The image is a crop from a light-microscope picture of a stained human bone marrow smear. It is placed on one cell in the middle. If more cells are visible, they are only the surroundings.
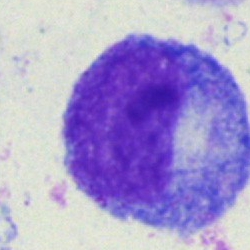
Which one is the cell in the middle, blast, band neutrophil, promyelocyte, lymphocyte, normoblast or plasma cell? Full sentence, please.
The cell centred in this crop is categorized as a promyelocyte.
